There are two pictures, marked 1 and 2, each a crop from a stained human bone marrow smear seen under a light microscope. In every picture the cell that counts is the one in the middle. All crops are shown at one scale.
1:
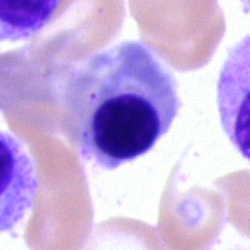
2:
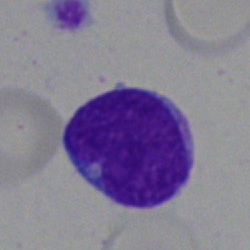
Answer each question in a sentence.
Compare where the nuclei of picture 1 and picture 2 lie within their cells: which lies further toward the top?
It is the nucleus in picture 2 that lies further toward the top of its cell.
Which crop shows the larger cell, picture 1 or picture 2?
The cell in picture 2 is larger, with about 1.5 times the area of the one in picture 1.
